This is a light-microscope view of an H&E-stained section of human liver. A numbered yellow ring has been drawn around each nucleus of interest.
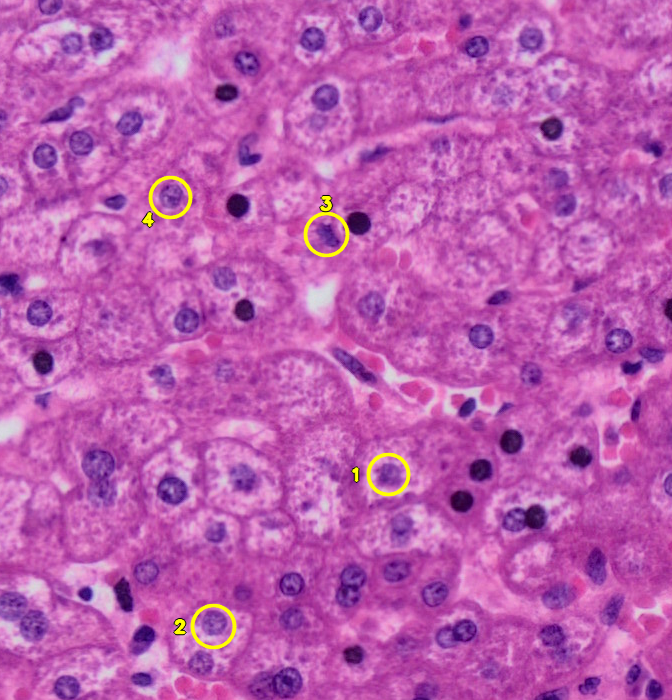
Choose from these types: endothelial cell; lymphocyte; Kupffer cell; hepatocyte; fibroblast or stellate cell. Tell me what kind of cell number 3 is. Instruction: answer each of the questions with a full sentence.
The numbered cell 3 is identified here as a fibroblast or stellate cell.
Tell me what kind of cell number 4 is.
The numbered cell 4 is identified here as a hepatocyte.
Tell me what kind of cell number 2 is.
At number 2, the marked cell is a hepatocyte.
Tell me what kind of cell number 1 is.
The nucleus with number 1 is that of a hepatocyte.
